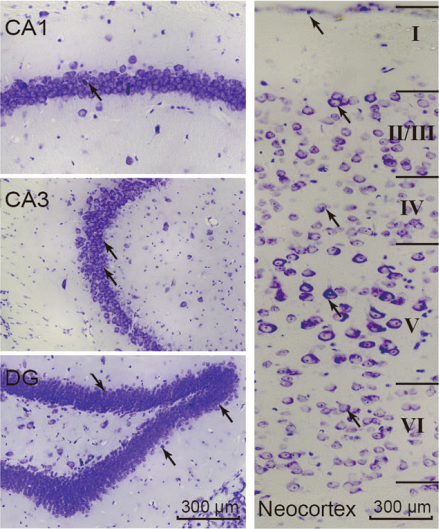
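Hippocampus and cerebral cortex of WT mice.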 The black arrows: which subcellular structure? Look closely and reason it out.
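The arrows point at densely purple-stained neuronal cell bodies. The purple stain fills the cytoplasm around pale nuclei. On this evidence: Nissl body.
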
